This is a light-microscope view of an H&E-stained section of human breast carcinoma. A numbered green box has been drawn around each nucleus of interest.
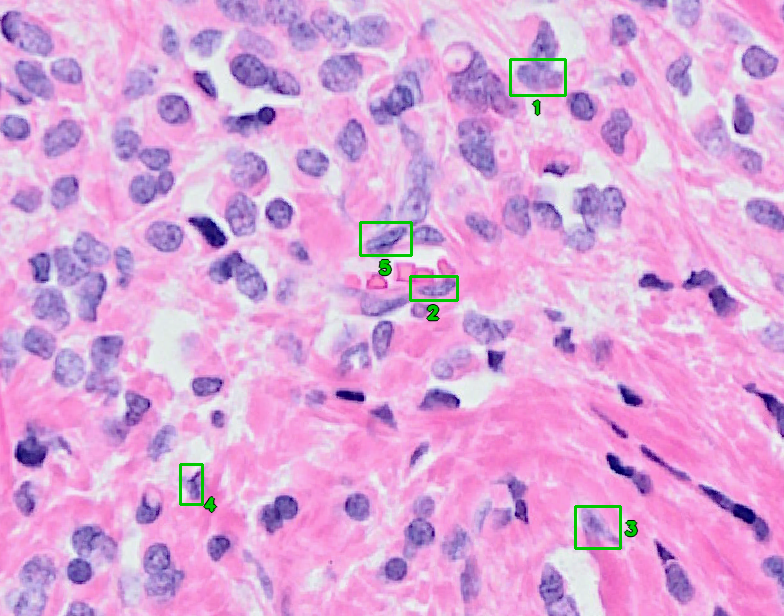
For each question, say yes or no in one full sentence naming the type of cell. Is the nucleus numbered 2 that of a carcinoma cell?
No, for cell 2, the correct identification is an endothelial cell instead of a carcinoma cell.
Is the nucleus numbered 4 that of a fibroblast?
Yes, the cell that goes by number 4 is a fibroblast.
